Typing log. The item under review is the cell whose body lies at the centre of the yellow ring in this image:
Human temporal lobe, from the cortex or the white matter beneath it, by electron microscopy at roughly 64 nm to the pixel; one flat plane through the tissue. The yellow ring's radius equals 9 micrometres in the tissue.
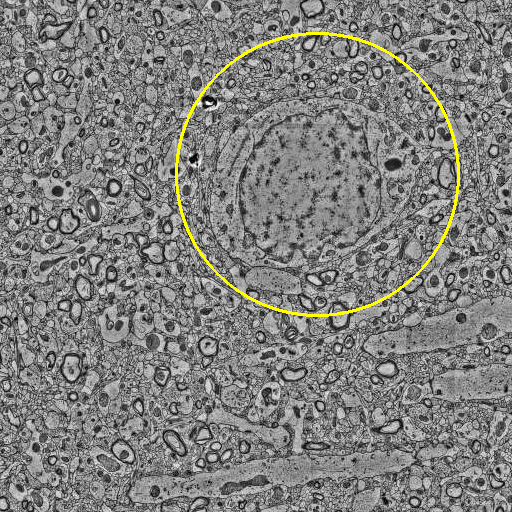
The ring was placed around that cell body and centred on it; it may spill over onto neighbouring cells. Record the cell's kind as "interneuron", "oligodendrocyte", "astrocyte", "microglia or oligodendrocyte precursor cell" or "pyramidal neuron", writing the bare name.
interneuron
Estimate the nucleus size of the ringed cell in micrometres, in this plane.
In this plane the nucleus is about 10 micrometres across.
